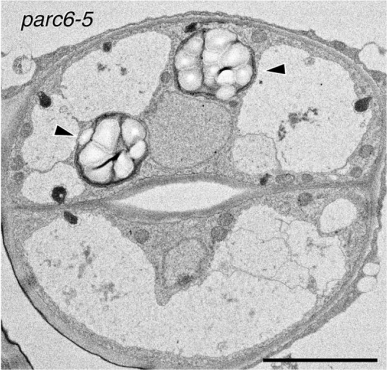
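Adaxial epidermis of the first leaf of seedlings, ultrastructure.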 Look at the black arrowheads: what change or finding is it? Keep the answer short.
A: Enlarged chloroplasts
